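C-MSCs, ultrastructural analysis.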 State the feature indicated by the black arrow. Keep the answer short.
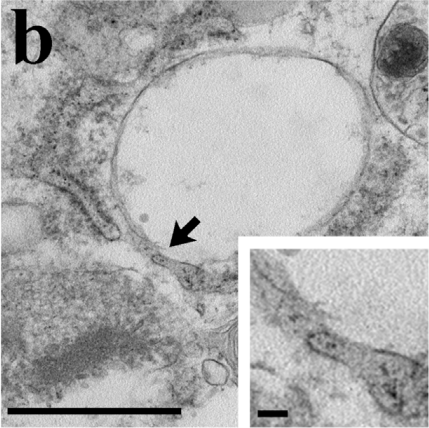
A: contact site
